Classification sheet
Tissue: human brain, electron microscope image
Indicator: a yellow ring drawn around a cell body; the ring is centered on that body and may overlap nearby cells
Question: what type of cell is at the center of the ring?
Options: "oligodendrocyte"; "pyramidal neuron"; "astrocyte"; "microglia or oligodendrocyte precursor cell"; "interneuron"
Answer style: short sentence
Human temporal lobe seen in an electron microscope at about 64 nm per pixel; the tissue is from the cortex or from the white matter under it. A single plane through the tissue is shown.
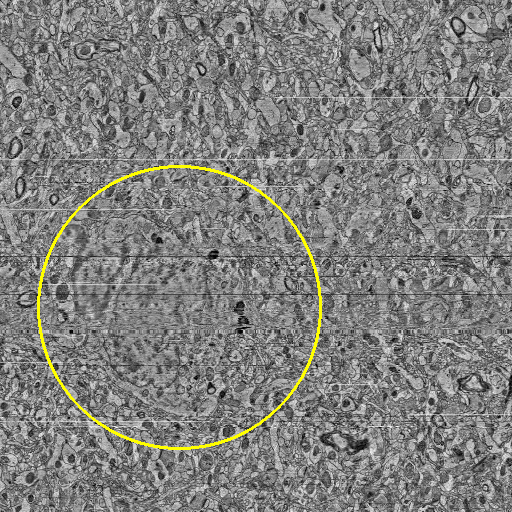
At the ring's center is an interneuron.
